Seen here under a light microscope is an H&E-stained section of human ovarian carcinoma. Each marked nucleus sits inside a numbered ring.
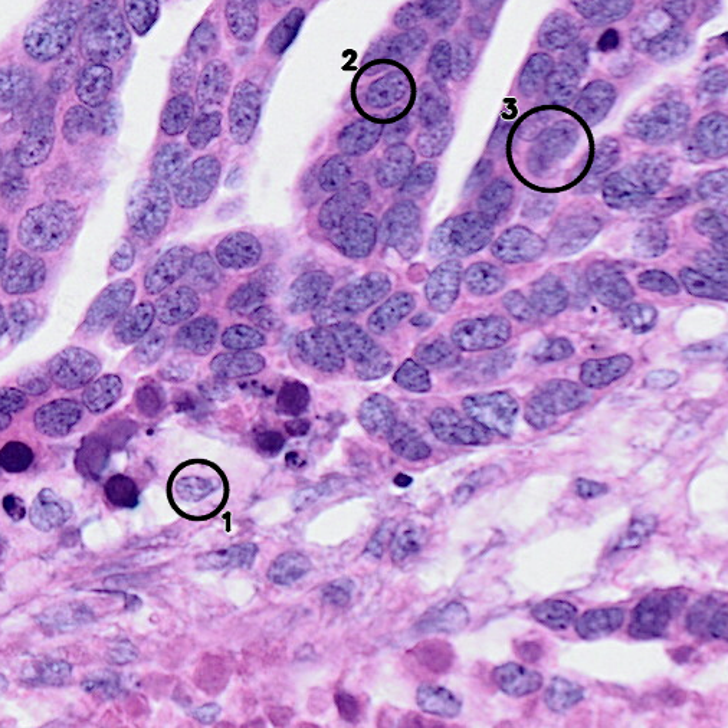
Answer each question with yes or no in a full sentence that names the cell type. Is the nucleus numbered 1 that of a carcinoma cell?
No, number 1 corresponds to a macrophage or monocyte, not a carcinoma cell.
